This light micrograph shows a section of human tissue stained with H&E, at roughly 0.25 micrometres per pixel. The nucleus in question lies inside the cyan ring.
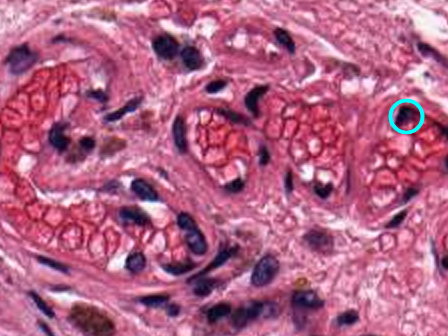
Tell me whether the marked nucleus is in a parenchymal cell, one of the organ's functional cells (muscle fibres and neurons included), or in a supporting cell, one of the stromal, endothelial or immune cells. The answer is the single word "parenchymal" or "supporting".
supporting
